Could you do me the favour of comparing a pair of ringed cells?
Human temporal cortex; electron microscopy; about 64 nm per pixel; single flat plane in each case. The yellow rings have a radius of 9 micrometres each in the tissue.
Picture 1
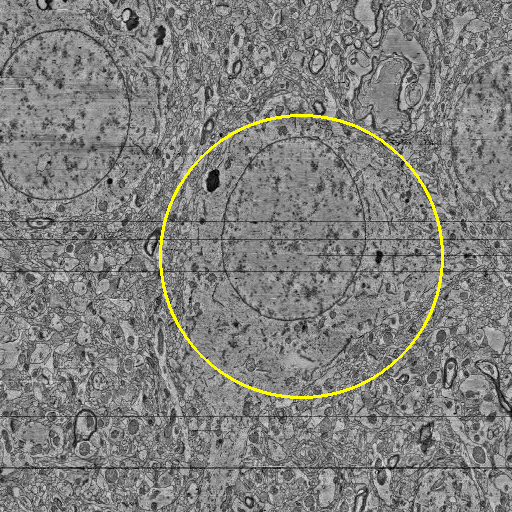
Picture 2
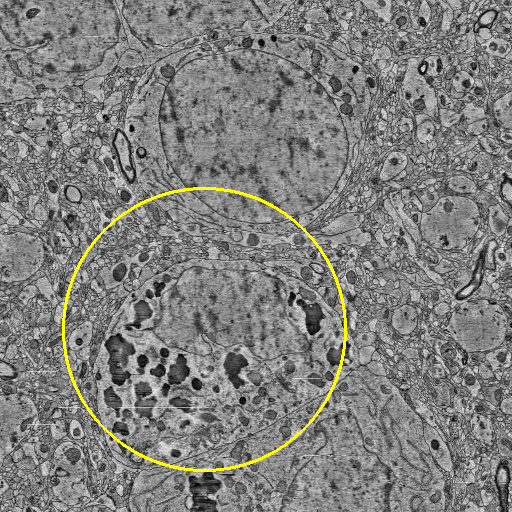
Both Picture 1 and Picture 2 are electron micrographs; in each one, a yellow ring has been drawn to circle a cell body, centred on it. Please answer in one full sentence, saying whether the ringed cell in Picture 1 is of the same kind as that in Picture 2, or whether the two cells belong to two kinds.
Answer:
The ringed cells in Picture 1 and Picture 2 belong to two kinds.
